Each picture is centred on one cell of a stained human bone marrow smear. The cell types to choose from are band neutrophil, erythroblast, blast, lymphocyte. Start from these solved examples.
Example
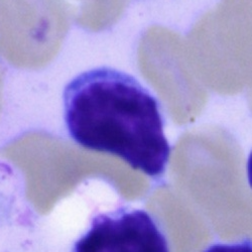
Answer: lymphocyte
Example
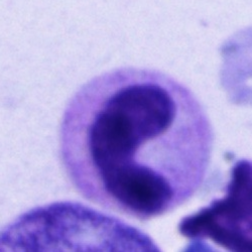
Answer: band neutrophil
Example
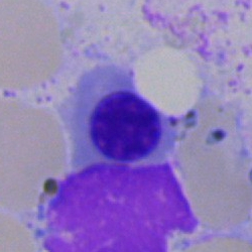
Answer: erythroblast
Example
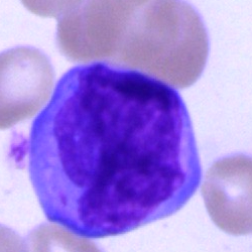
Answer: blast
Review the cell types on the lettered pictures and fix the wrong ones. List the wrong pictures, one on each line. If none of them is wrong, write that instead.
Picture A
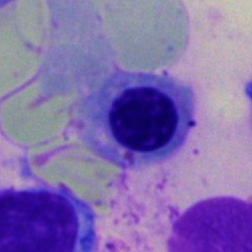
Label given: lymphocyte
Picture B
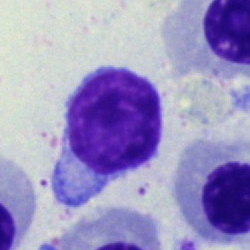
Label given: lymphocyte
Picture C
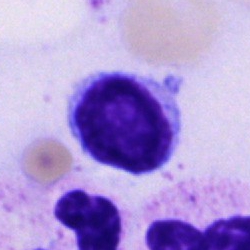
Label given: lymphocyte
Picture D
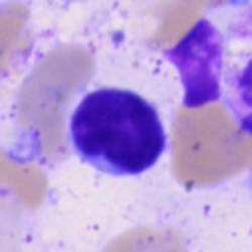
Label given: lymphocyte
A should be erythroblast, not lymphocyte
